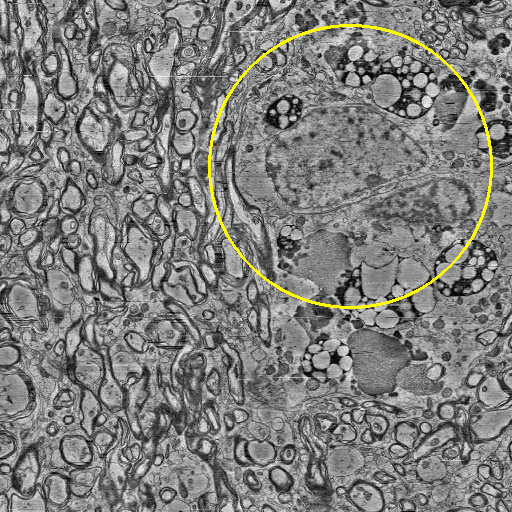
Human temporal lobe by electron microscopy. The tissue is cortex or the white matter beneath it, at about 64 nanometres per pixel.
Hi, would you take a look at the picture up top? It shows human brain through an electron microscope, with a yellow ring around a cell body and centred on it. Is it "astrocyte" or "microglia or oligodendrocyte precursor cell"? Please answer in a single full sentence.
The best fit for the cell in the middle of the ring is an astrocyte, I reckon.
